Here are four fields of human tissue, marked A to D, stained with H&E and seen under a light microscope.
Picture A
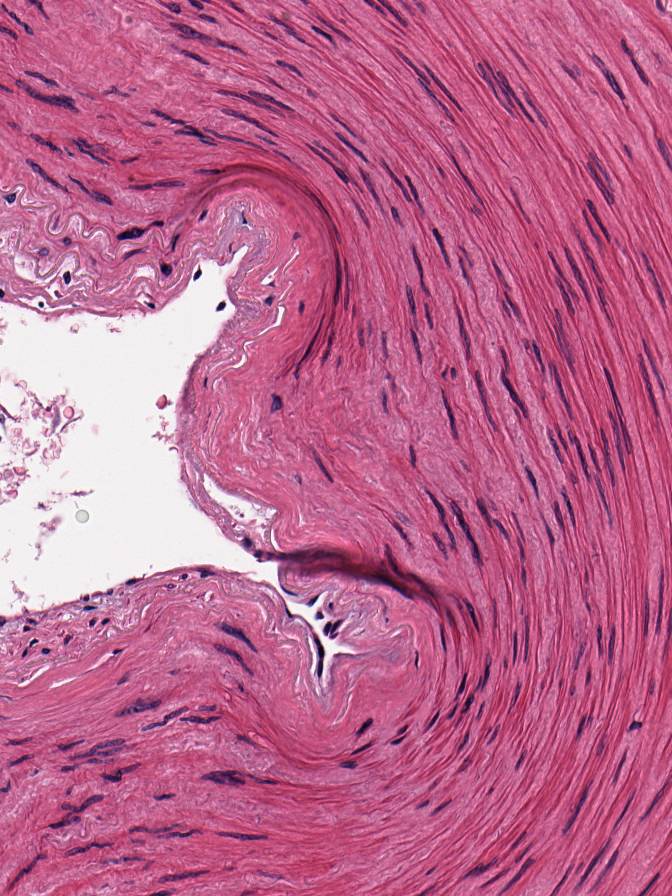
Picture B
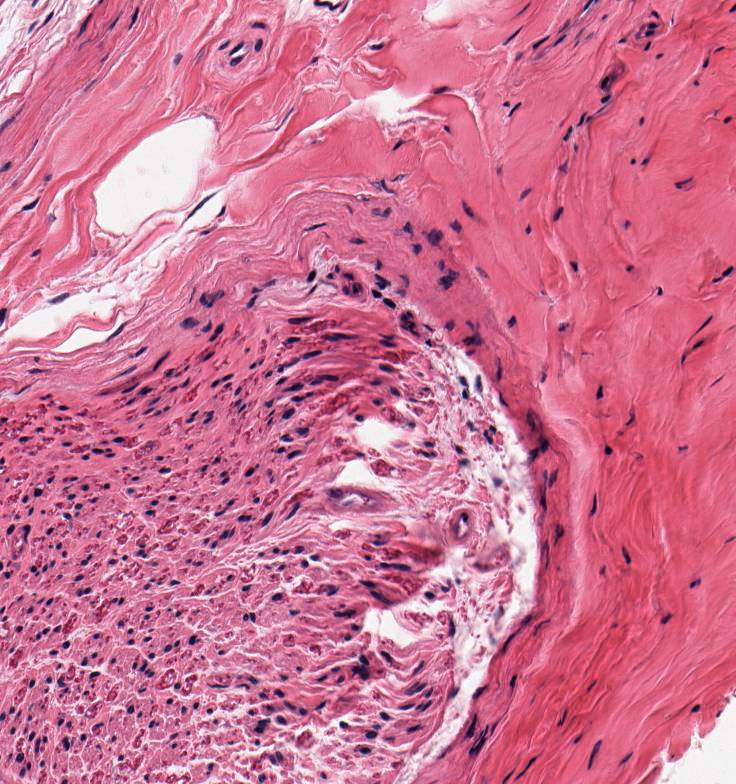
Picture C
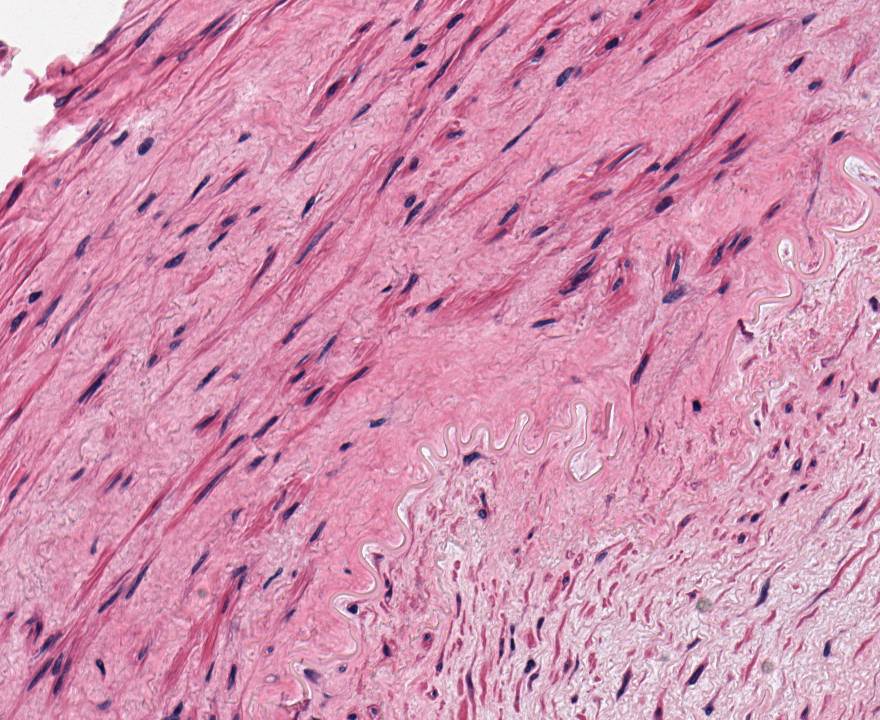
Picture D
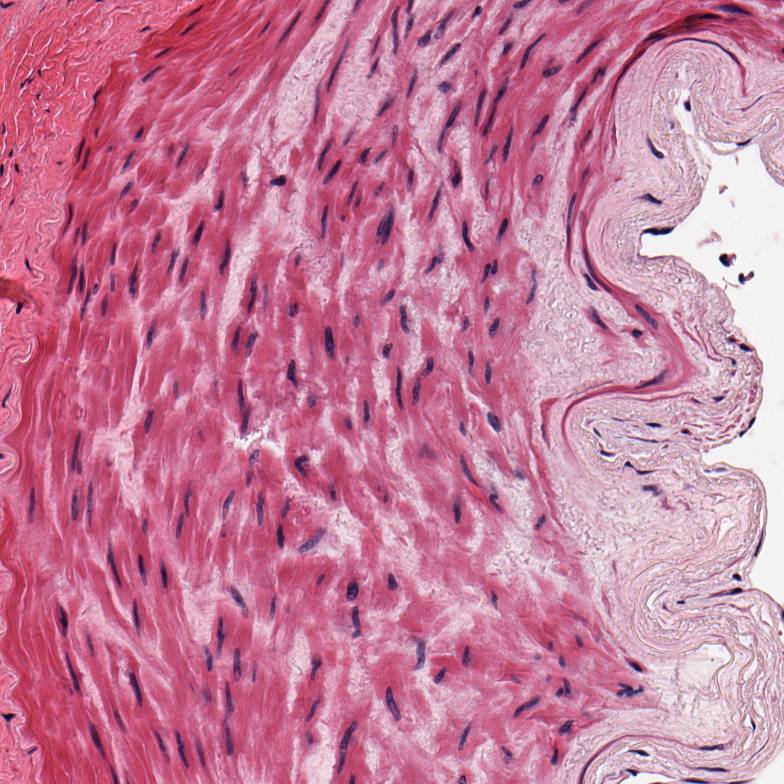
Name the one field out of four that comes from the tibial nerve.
B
